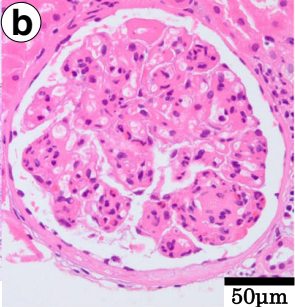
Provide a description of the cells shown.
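This is a glomerulus in hematoxylin-eosin stain showing endocapillary hypercellularity. The tuft is divided into several rounded lobules separated by narrow clefts, and each lobule is crowded with purple nuclei. A clear Bowman's space surrounds the tuft, lined by a thin Bowman's capsule, and pink tubules lie outside it.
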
